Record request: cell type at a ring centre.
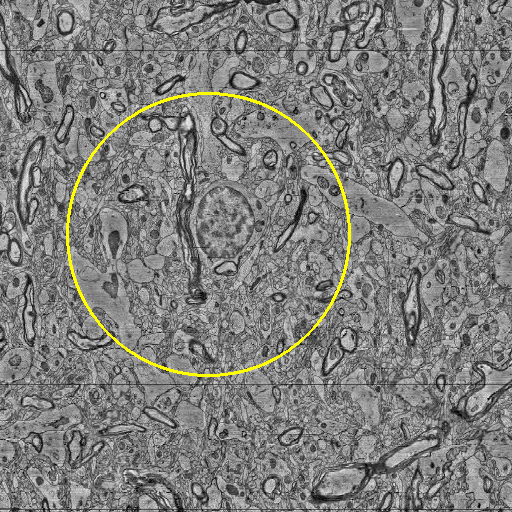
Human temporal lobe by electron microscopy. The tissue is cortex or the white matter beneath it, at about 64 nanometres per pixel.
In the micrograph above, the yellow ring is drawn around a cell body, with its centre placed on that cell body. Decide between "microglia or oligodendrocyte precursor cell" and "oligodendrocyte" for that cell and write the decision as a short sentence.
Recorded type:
The cell centred in the yellow ring is an oligodendrocyte.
